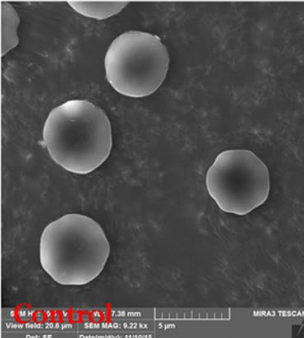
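Scanning electron micrograph of a few erythrocytes lying separately on a textured substrate. The surfaces are even, without projections or pits, and the cells are of similar size.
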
